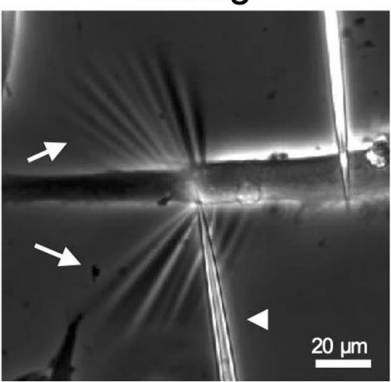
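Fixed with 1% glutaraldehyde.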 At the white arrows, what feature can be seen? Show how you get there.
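Fine straight light and dark lines radiate outward from one point on the horizontal band. The lines lie on the flat background outside the band. The lines converge where a thin rod touches the band.
Conclusion: wrinkles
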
